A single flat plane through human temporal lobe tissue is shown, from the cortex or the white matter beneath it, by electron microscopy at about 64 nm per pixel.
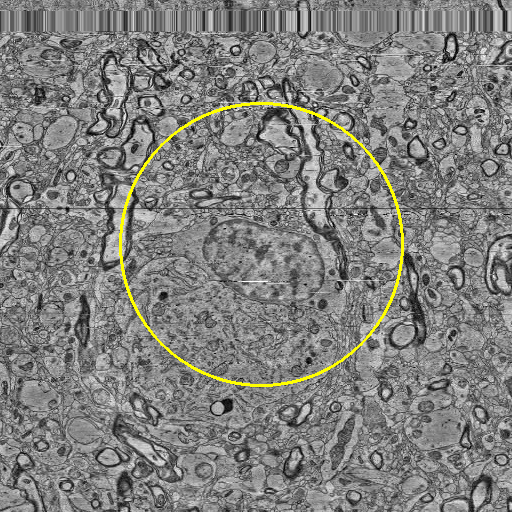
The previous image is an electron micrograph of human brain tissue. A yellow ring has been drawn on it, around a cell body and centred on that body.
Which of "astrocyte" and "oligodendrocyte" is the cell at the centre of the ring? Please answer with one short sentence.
The cell body at the centre of the ring belongs to an oligodendrocyte.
